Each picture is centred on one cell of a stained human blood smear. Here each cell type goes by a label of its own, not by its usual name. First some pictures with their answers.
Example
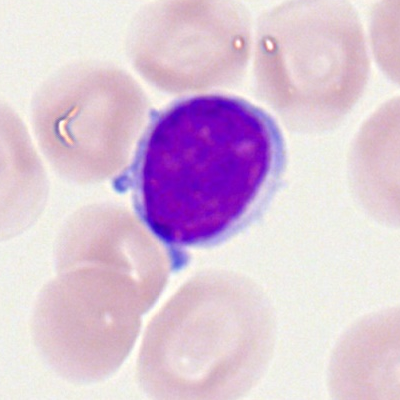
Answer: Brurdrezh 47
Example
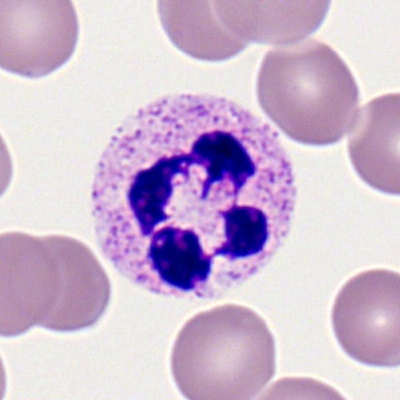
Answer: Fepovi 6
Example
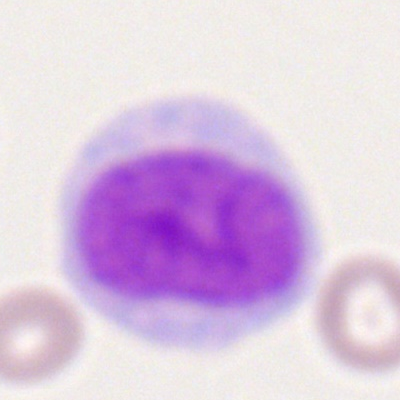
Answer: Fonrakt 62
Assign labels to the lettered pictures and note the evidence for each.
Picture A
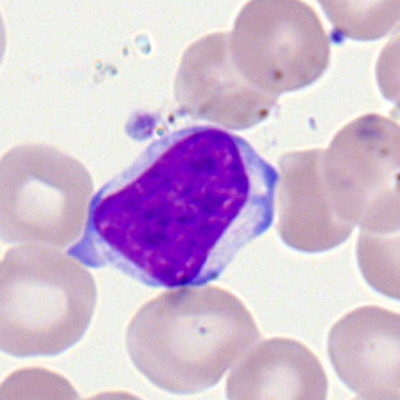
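Brurdrezh 47: The nucleus is a single unlobed mass.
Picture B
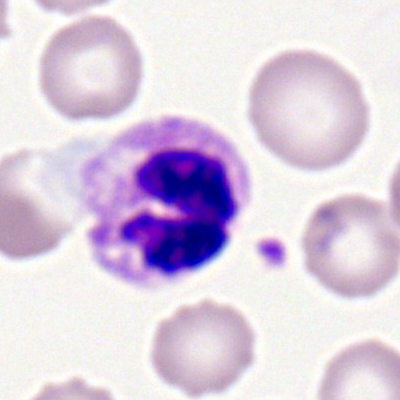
Fepovi 6: The nucleus is bent into a C shape whose opening faces left.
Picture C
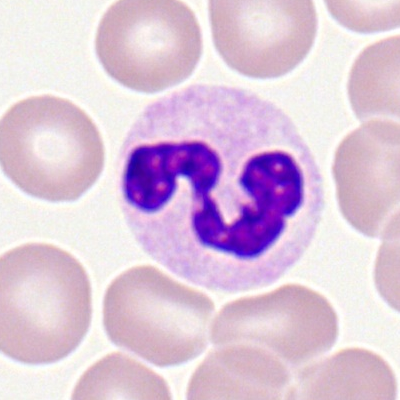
Fepovi 6: The nucleus is a single bent band curved into an S shape.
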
